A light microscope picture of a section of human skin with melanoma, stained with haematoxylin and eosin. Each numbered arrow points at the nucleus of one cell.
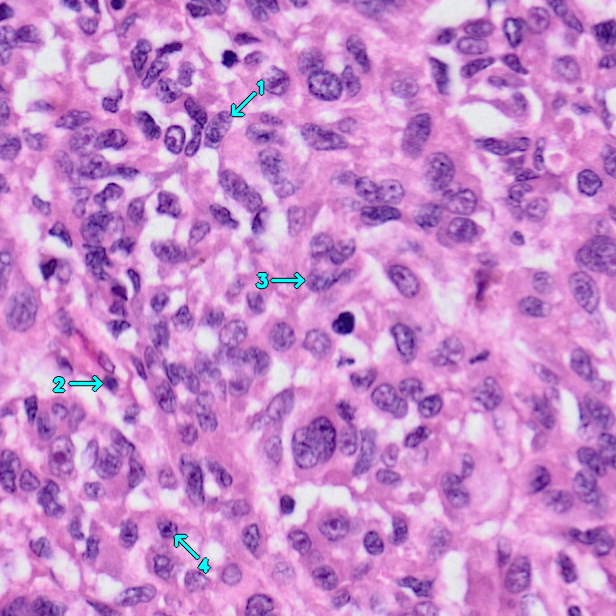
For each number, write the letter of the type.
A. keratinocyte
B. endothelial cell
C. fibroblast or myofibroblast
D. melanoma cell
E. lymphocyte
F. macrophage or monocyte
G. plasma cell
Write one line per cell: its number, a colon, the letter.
1: D
2: E
3: D
4: D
